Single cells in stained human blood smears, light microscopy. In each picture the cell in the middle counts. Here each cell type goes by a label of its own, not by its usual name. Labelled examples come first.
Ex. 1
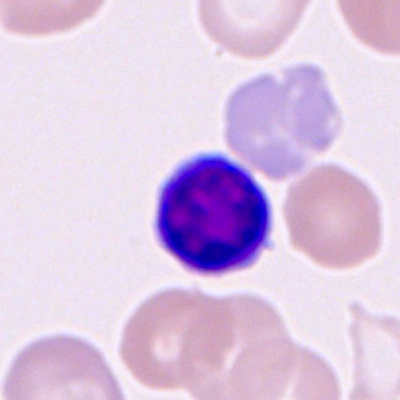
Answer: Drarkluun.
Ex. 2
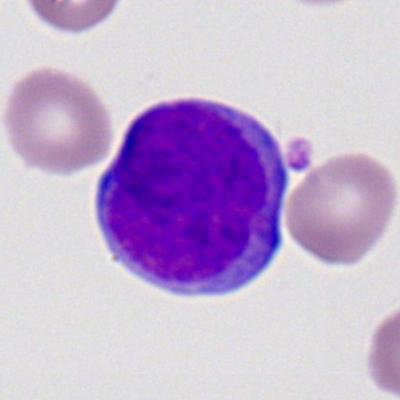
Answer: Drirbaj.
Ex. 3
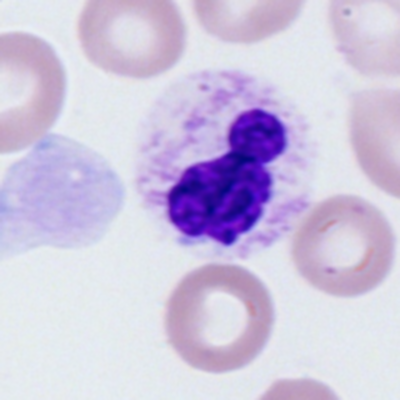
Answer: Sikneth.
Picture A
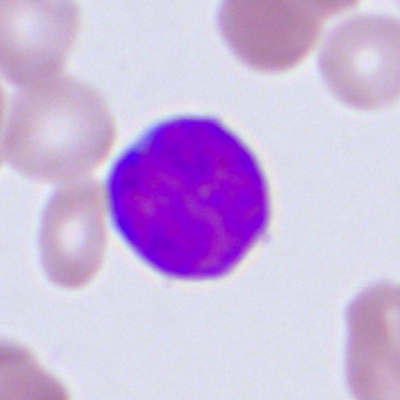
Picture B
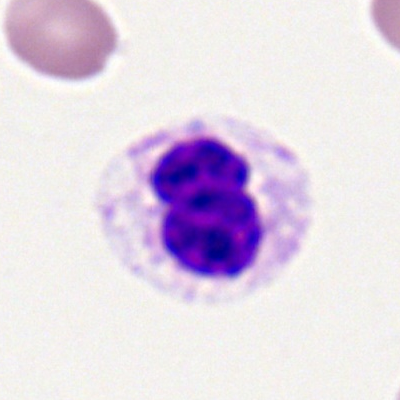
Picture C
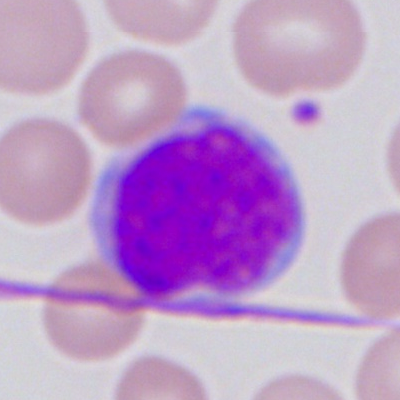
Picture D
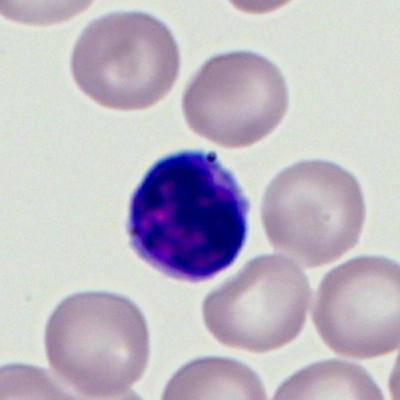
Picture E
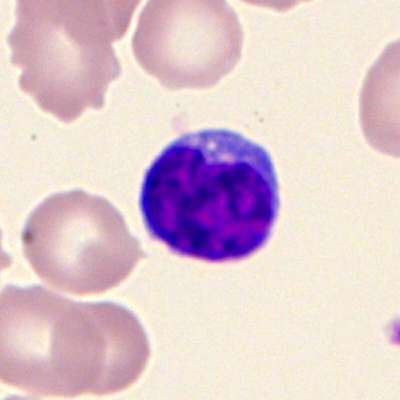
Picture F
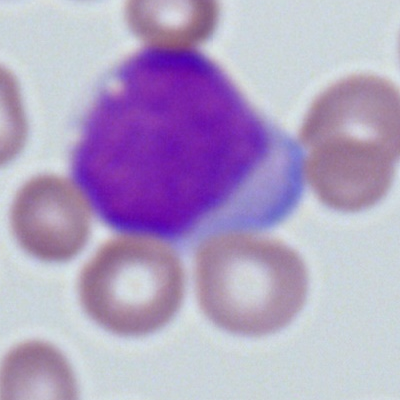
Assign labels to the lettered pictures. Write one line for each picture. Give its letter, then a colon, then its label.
A: Drirbaj.
B: Sikneth.
C: Drirbaj.
D: Drarkluun.
E: Drarkluun.
F: Drirbaj.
